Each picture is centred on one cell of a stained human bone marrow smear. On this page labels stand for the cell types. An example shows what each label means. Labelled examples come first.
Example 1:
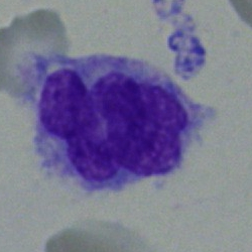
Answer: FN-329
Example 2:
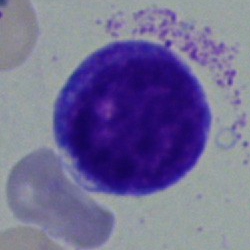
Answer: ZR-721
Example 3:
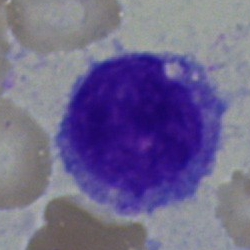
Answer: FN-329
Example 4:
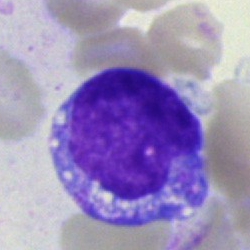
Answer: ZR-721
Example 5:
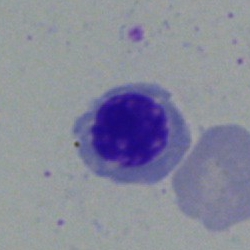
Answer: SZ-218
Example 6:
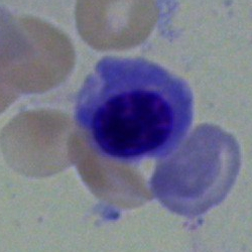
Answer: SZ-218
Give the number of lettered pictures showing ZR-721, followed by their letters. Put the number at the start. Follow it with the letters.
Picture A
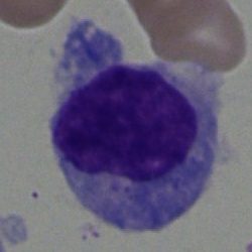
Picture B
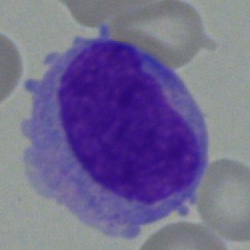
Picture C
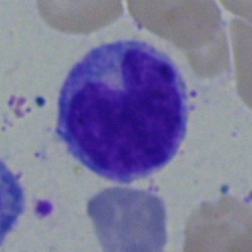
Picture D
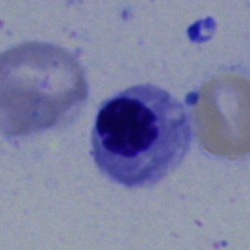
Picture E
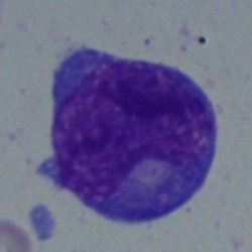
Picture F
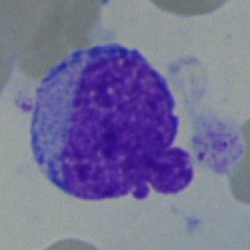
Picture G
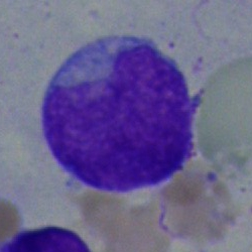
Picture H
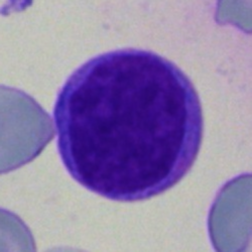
4: E, F, G, H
